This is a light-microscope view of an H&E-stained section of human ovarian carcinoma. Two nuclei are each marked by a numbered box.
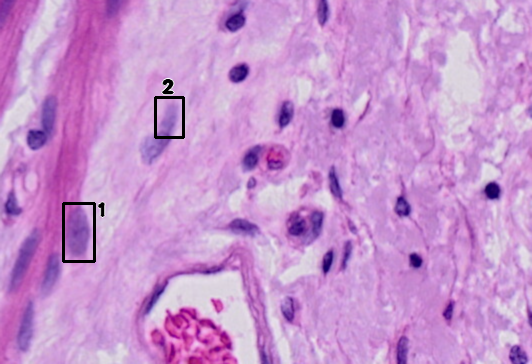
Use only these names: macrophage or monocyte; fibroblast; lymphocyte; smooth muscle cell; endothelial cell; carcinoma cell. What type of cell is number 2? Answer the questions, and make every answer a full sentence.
The nucleus marked 2 is the nucleus of a fibroblast.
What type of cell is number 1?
Corresponding to a smooth muscle cell is the cell labelled 1.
